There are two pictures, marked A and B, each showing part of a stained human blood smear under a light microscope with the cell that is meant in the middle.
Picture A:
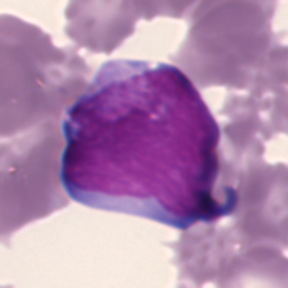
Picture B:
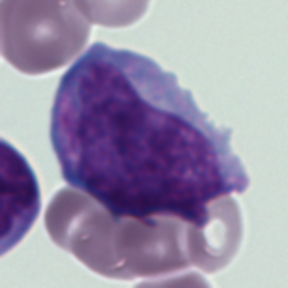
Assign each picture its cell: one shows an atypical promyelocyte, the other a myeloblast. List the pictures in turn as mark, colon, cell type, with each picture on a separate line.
A: myeloblast
B: atypical promyelocyte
